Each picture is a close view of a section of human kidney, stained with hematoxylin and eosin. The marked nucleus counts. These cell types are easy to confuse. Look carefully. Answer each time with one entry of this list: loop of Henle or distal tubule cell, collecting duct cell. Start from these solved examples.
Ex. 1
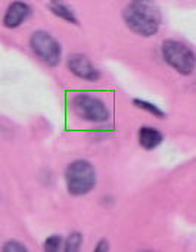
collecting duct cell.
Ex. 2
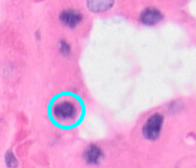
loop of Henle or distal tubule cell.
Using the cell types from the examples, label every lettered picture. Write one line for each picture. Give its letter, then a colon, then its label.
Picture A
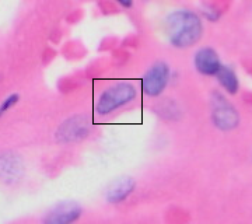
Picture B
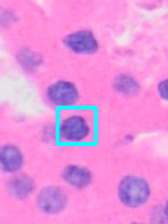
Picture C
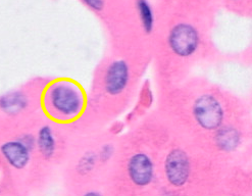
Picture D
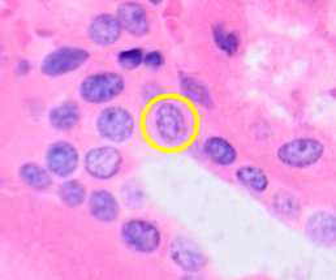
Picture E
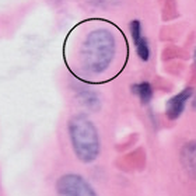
A: collecting duct cell.
B: loop of Henle or distal tubule cell.
C: loop of Henle or distal tubule cell.
D: collecting duct cell.
E: collecting duct cell.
